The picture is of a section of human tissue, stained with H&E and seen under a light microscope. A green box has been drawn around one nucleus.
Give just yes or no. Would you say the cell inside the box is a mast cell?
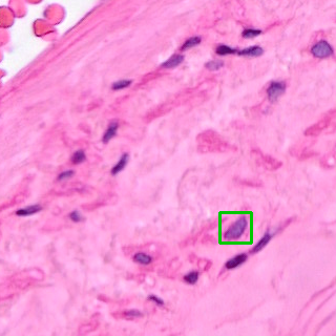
no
